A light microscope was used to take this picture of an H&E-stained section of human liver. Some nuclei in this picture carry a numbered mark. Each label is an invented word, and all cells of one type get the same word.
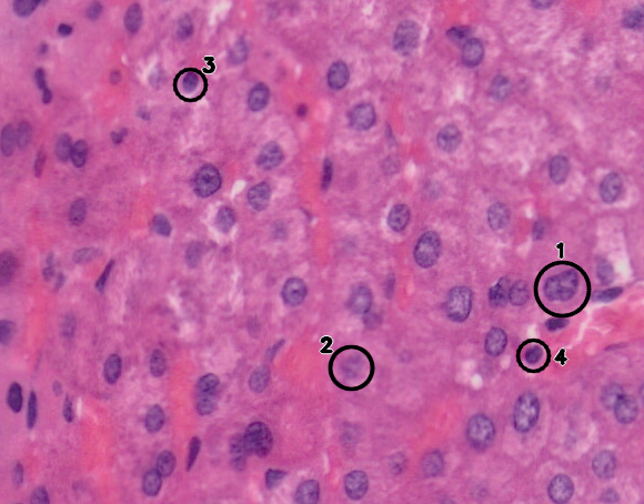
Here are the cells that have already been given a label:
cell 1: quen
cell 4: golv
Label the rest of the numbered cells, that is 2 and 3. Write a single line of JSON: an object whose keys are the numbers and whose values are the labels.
{"2": "quen", "3": "golv"}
